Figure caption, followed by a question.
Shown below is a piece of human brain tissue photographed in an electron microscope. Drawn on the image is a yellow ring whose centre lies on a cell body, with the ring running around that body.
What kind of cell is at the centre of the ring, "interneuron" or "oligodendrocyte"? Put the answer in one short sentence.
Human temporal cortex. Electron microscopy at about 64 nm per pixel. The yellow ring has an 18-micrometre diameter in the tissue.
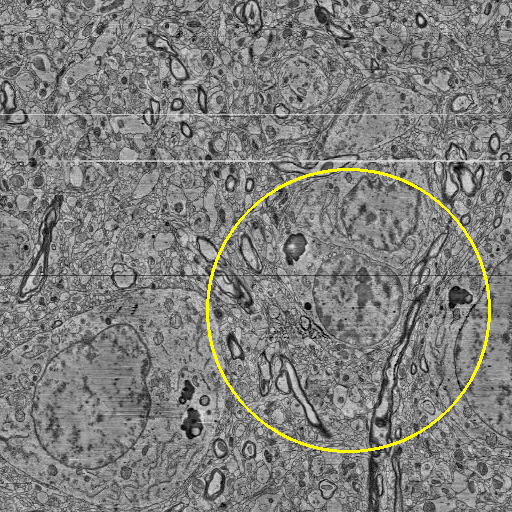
The ring marks the cell body of an oligodendrocyte.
